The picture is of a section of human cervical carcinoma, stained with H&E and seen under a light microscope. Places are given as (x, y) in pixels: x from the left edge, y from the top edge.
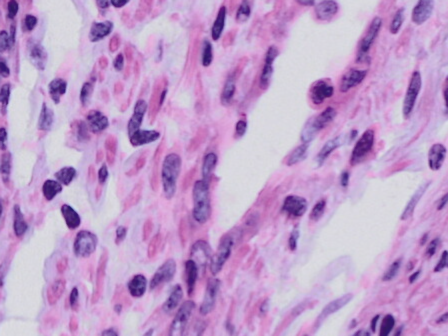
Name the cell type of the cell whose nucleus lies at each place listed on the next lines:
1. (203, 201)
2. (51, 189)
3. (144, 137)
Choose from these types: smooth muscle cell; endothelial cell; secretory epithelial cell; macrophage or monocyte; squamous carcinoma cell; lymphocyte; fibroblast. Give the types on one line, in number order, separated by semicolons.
endothelial cell; lymphocyte; lymphocyte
